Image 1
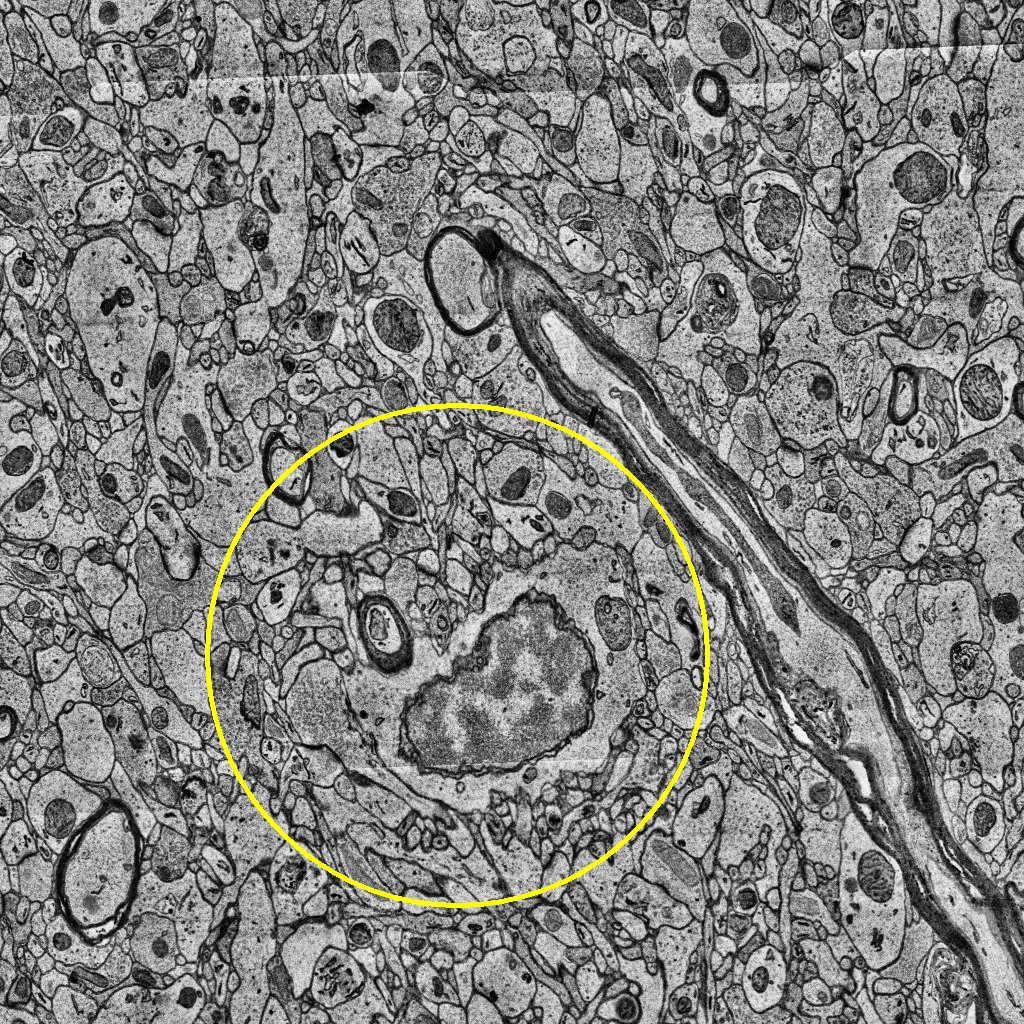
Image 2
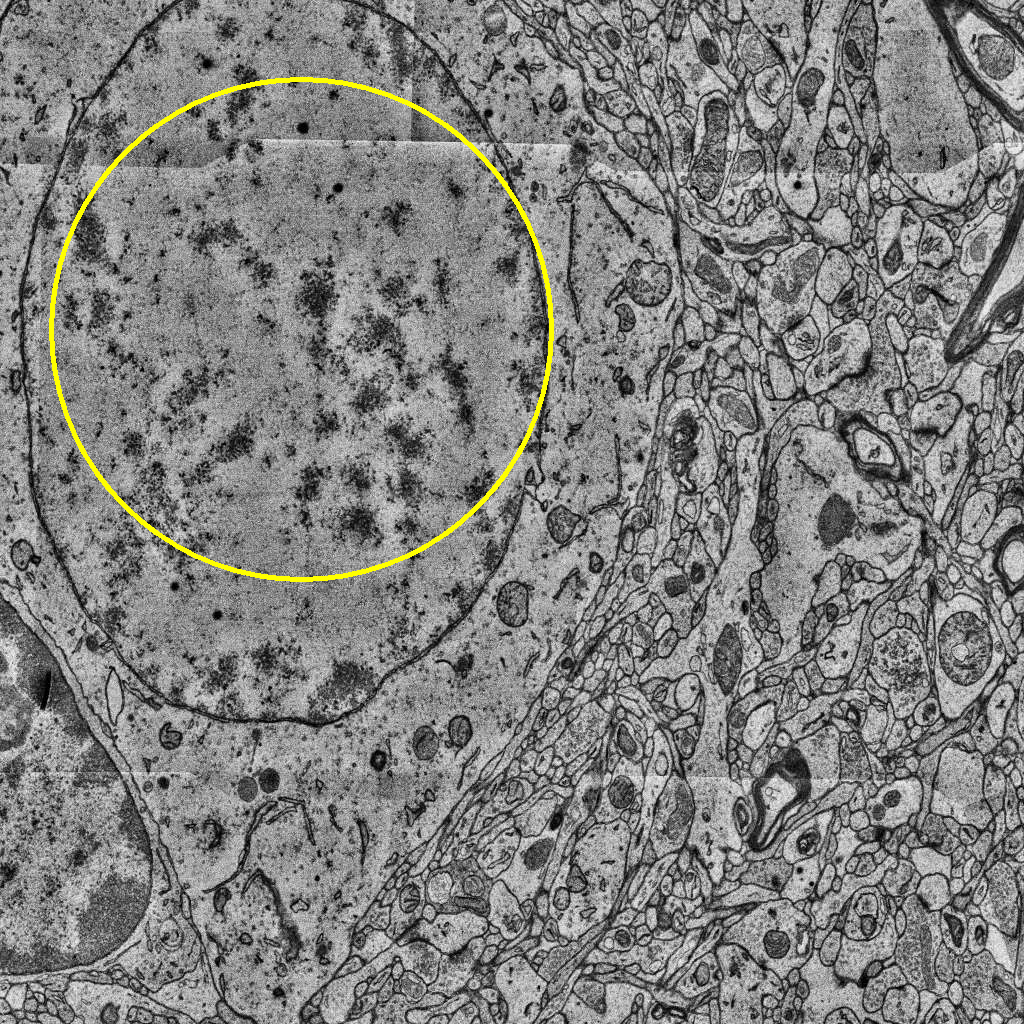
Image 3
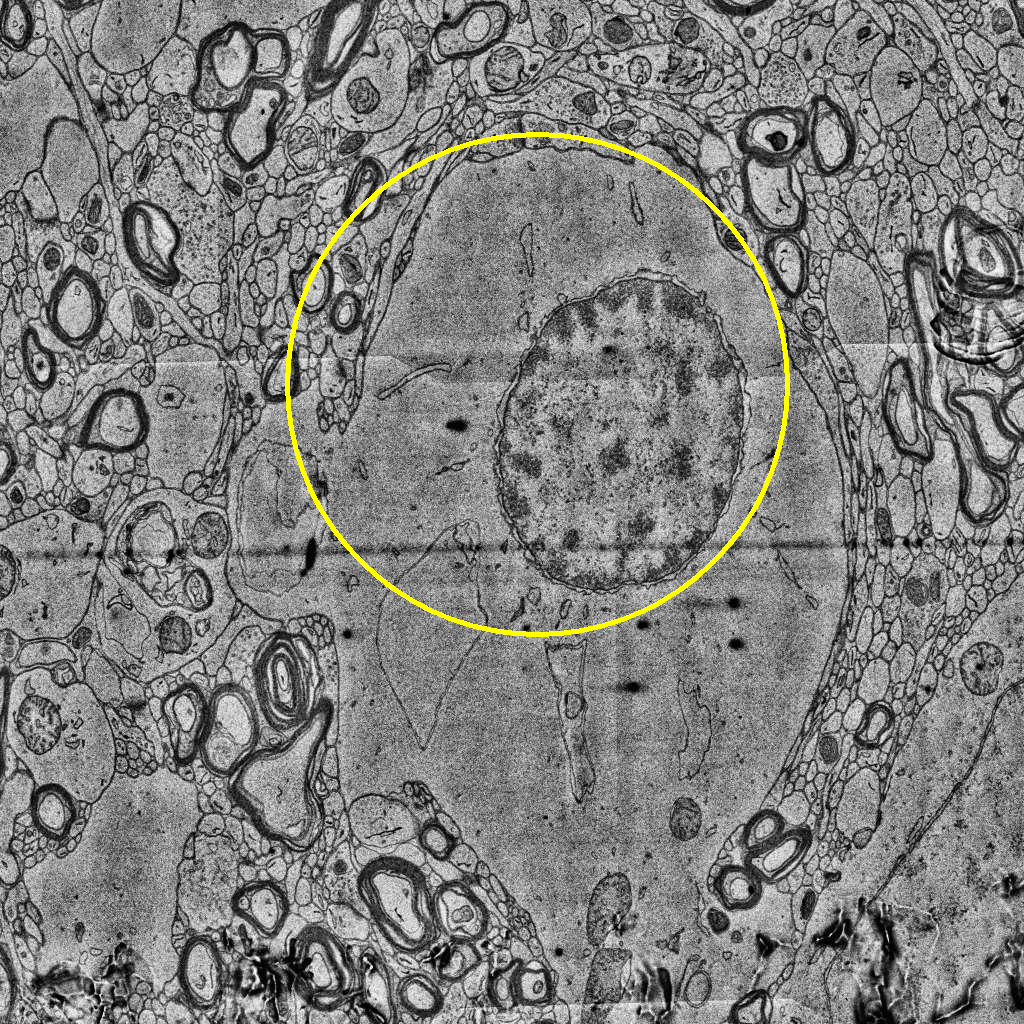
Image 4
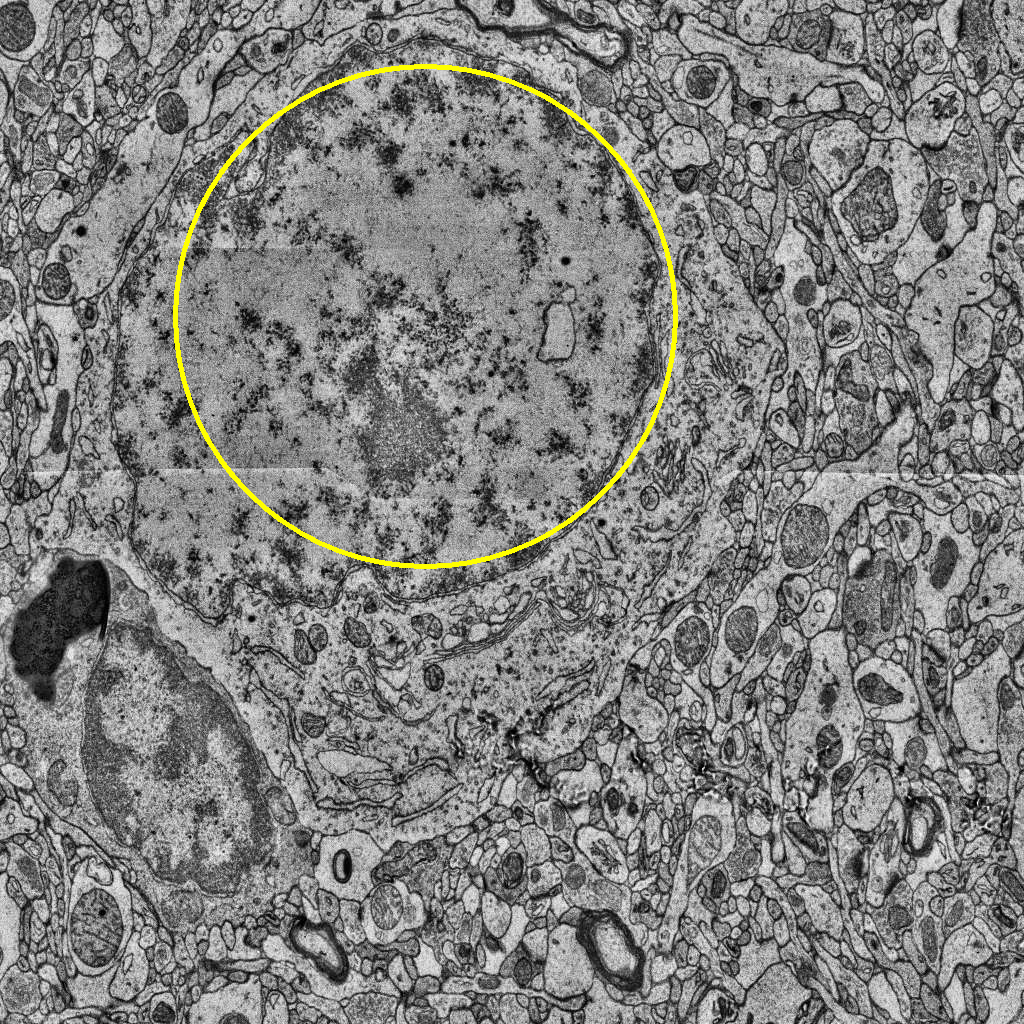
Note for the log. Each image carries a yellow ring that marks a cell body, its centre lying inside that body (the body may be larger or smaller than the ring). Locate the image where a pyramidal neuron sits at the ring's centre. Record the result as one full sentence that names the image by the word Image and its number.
Image 2 has the wanted cell sitting at the centre of its ring.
